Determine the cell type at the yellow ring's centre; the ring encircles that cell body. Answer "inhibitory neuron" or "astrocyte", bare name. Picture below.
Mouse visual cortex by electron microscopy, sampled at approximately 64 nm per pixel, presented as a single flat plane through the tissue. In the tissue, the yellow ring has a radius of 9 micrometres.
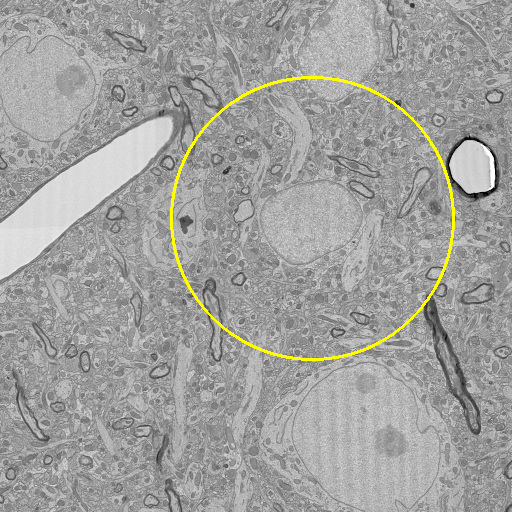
astrocyte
